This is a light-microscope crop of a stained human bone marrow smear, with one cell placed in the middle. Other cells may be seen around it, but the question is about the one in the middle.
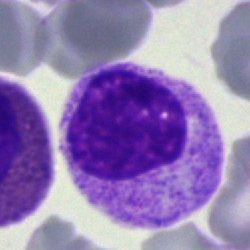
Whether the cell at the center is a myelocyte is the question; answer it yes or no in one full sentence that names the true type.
Yes, the identity of the central cell is that of a myelocyte.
